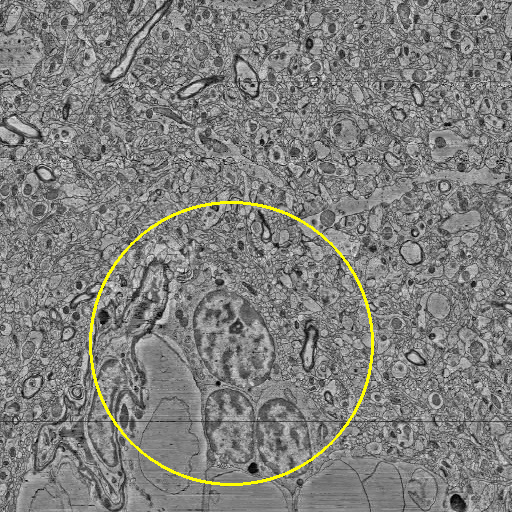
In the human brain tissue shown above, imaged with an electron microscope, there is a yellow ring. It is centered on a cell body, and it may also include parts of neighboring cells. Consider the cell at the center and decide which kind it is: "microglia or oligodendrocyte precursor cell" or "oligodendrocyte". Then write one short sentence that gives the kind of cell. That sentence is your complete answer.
This centered cell body is that of an oligodendrocyte.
